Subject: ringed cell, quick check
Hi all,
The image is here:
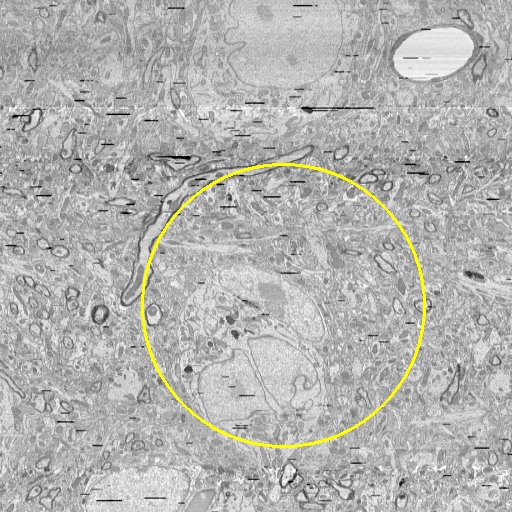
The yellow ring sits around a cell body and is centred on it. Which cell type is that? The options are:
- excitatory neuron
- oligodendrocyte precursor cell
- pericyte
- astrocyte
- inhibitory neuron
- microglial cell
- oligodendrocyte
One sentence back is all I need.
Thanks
That ringed cell is an oligodendrocyte precursor cell.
